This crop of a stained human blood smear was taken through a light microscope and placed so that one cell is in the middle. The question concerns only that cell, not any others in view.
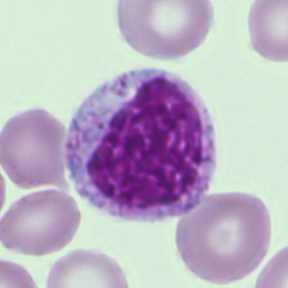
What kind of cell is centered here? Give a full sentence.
The cell under consideration, at the middle of the crop, is a myelocyte.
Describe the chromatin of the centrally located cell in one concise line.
Answer: the chromatin in this nucleus is coarsely clumped.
